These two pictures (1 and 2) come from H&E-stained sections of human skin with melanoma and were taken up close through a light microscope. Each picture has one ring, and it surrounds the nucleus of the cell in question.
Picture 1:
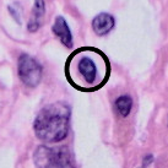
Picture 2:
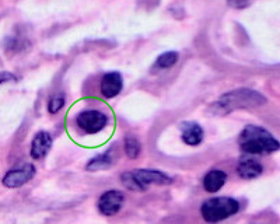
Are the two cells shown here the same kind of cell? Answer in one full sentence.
No; the cell in picture 1 is a lymphocyte, while the one in picture 2 is a plasma cell.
